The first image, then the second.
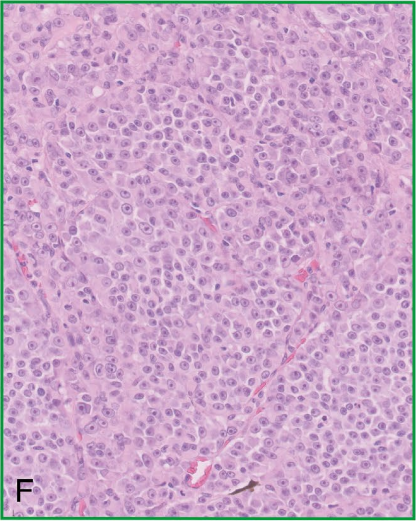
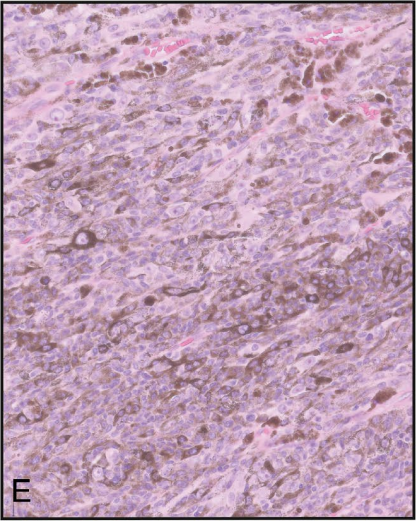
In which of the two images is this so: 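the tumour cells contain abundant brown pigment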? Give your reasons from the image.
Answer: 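First image: cells have pale pink cytoplasm with no brown granules. Second image: many cells are filled with dark brown granules. So: the second image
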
